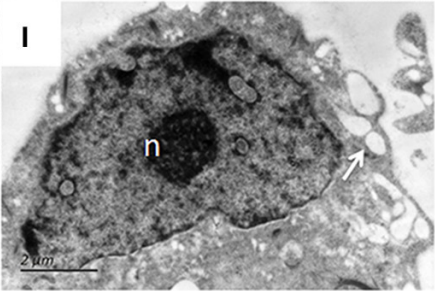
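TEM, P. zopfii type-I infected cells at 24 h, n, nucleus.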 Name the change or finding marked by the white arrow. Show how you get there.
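Cytoplasm cavitation. Clear round spaces lie in the cytoplasm at the edge of the cell beside the nucleus. The arrow points at one of these clear spaces.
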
